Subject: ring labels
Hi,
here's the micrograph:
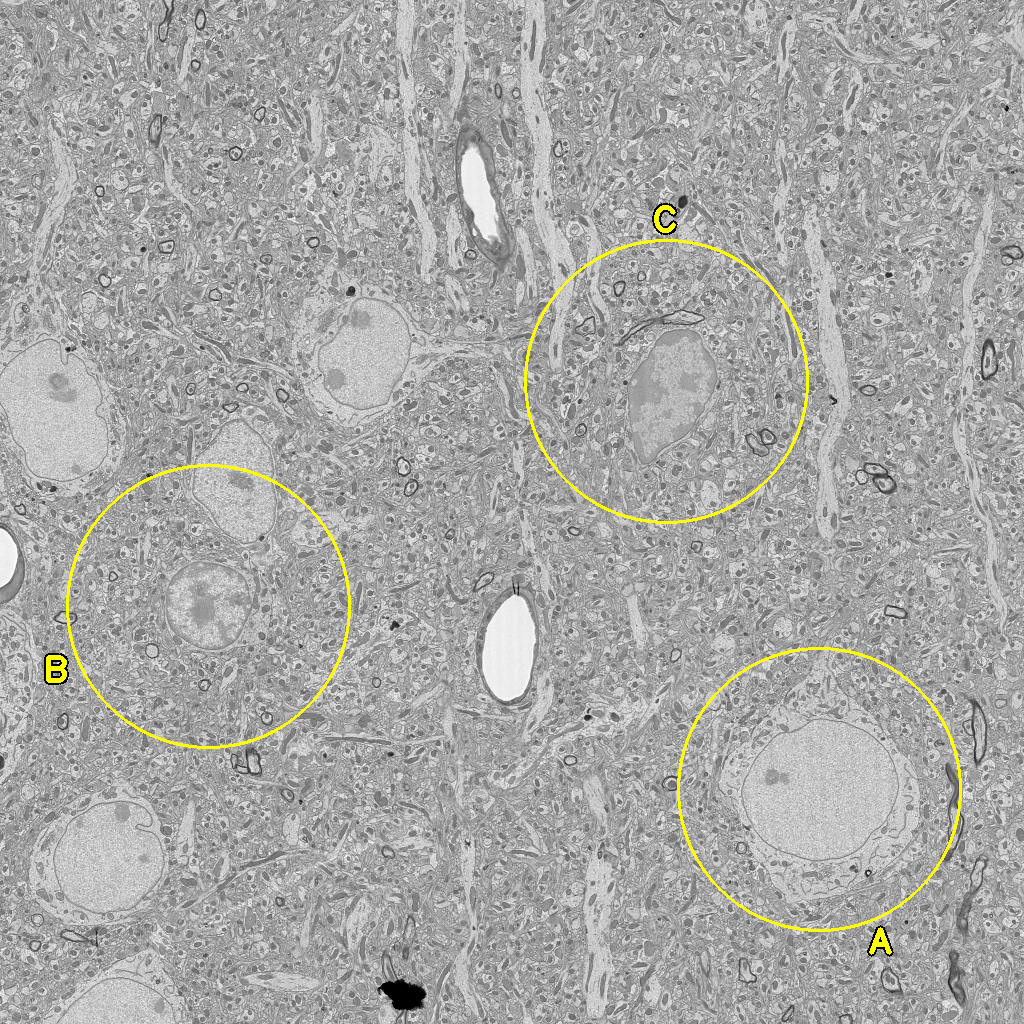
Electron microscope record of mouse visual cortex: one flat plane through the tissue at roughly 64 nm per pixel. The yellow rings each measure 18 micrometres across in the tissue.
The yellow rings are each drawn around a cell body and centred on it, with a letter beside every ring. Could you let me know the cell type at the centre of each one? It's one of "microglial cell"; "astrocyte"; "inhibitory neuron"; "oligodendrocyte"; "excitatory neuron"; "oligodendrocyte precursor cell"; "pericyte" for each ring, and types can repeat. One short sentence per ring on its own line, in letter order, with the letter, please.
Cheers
The type at the centre of ring A is an excitatory neuron.
The type at the centre of ring B is an oligodendrocyte.
The type at the centre of ring C is a microglial cell.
